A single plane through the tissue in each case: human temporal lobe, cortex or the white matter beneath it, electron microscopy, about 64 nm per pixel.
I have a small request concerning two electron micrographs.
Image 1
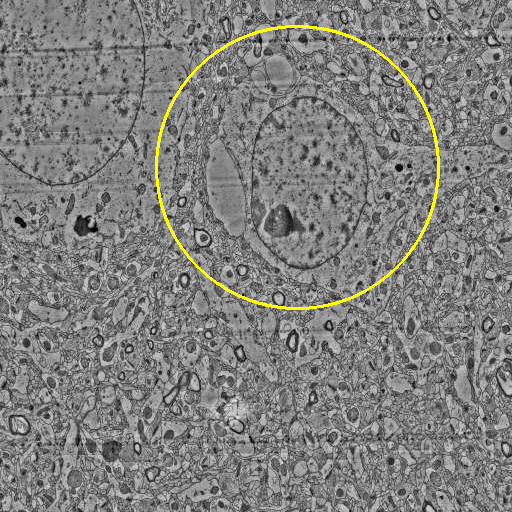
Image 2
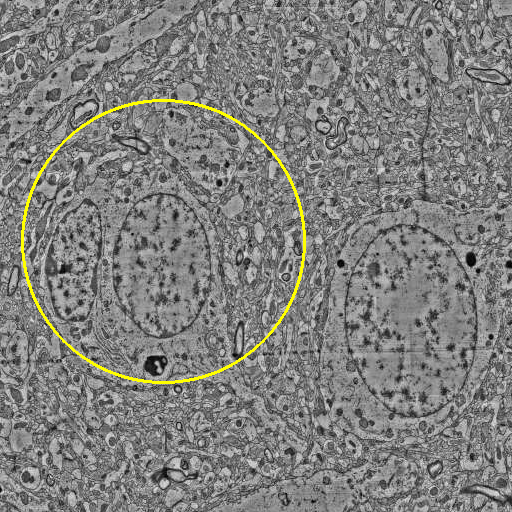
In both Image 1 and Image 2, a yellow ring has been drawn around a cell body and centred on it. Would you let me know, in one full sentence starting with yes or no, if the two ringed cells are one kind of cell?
Yes, the cells ringed in Image 1 and Image 2 are one kind of cell.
